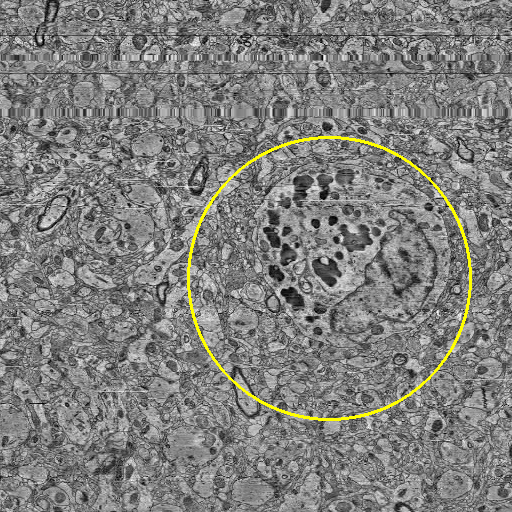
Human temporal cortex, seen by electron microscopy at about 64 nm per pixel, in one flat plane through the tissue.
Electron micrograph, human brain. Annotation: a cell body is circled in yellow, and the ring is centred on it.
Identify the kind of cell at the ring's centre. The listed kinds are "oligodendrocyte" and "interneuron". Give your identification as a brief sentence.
The circled cell body is that of an interneuron.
